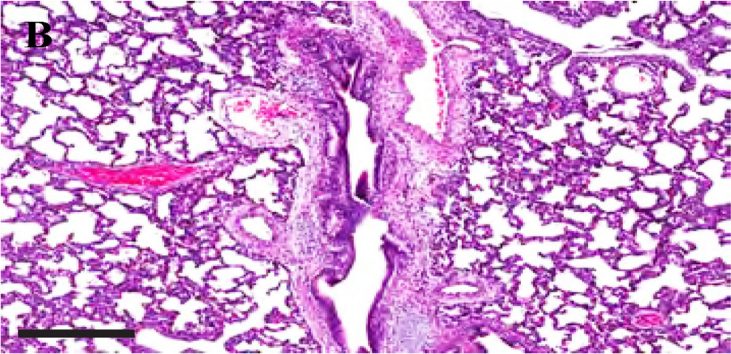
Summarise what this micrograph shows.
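This lung section at lower magnification shows parenchyma with widely open alveoli separated by thin, delicate pink-purple walls. Running vertically through the centre is a larger airway with a folded lining and a surrounding band of pink connective tissue, accompanied by blood vessels. To the left, a vessel is filled with bright red erythrocytes.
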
